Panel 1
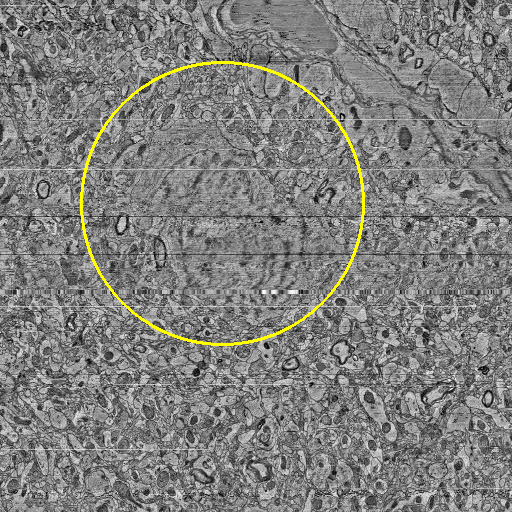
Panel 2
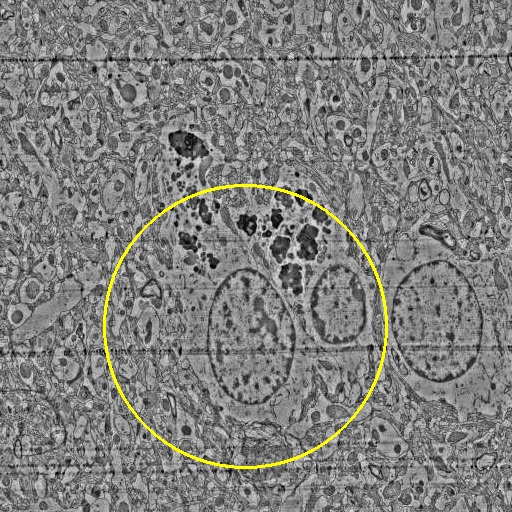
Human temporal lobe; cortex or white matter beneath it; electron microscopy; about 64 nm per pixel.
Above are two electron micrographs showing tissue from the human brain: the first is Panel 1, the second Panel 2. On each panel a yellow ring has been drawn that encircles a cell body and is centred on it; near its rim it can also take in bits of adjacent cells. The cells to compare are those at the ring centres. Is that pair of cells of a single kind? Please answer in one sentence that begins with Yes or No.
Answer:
No, the ring-centred cells of Panel 1 and Panel 2 belong to two kinds.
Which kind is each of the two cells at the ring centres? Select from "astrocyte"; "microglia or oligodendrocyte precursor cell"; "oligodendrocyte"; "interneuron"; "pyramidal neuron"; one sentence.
The cell at the centre of the ring is an interneuron in the first picture and an astrocyte in the second.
